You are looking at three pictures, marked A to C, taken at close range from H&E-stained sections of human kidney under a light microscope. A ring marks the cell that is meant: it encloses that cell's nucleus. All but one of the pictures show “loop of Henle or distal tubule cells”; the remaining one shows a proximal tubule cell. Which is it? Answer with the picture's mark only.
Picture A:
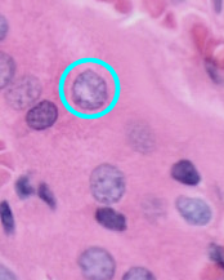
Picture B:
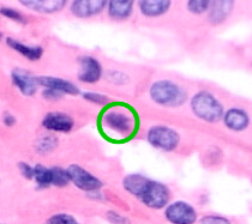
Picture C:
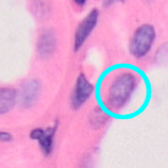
A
